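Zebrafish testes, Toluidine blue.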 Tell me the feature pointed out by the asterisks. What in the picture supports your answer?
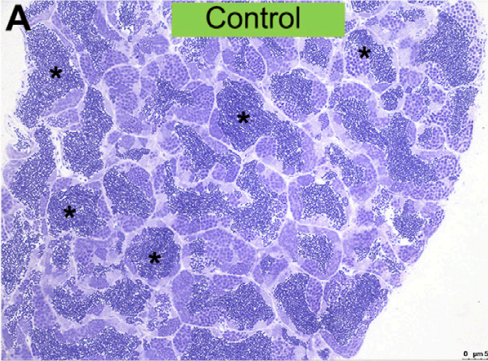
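Testicular lumen. Each asterisk lies in a space filled with densely packed, very small dark dots. These spaces sit between rounded compartments of larger cells.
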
